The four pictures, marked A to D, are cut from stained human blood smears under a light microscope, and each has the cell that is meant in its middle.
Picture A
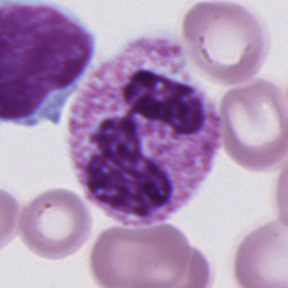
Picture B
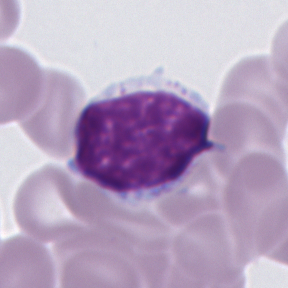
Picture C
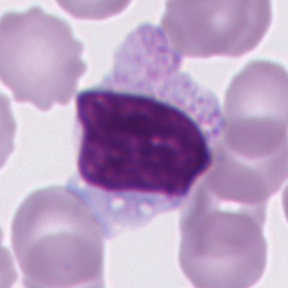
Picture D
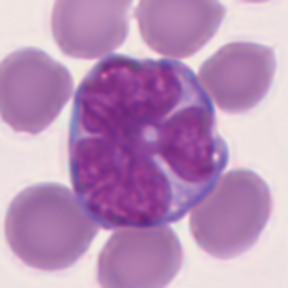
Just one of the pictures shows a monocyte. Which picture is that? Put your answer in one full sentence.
The monocyte is the one in picture D.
